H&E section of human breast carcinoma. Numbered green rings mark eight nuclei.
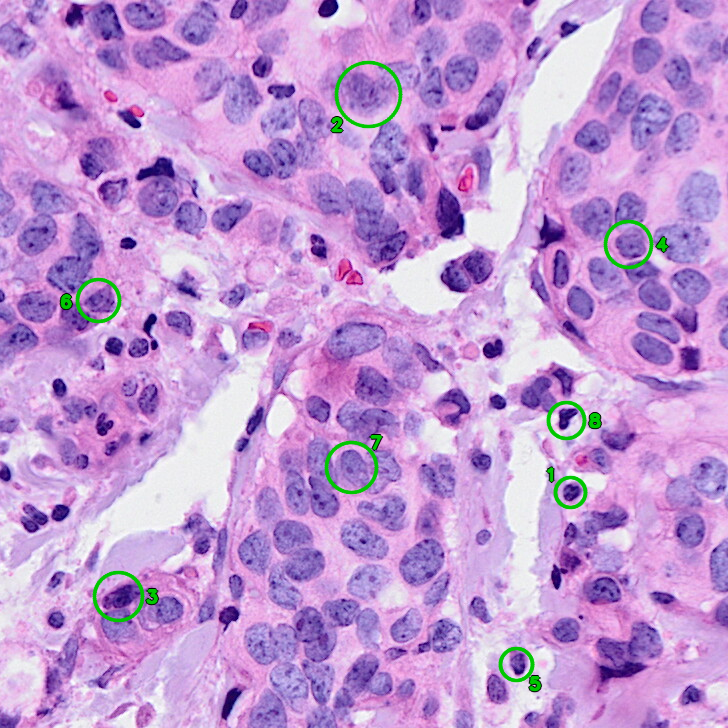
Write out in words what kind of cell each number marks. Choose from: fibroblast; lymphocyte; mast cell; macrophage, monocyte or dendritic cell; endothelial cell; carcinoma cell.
Cell 1 is a lymphocyte, cell 2 is a carcinoma cell, cell 3 is a carcinoma cell, cell 4 is a carcinoma cell, cell 5 is a lymphocyte, cell 6 is a carcinoma cell, cell 7 is a carcinoma cell and cell 8 is a lymphocyte.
